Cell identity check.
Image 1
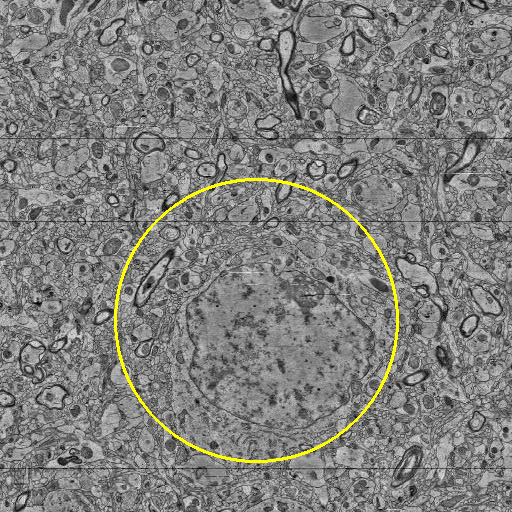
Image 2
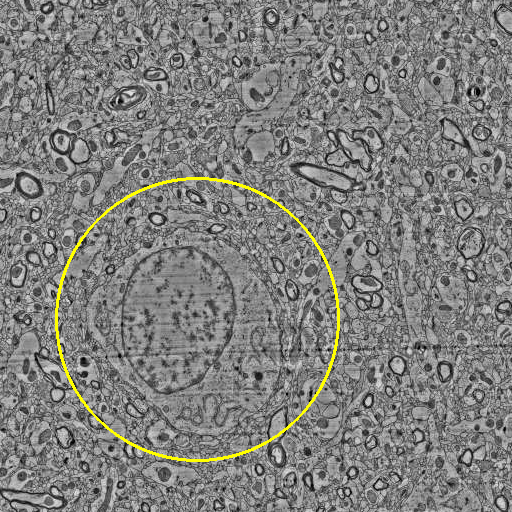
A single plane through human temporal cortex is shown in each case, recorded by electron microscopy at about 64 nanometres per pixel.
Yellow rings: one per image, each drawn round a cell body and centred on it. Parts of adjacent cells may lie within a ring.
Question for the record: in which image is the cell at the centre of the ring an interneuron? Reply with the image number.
1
